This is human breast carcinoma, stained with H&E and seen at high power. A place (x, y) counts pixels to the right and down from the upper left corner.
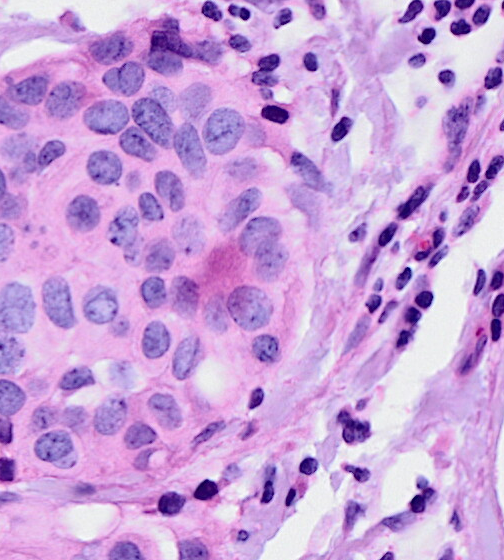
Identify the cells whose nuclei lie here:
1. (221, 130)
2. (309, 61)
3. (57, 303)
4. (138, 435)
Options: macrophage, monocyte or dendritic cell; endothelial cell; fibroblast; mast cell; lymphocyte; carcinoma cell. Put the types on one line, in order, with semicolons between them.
carcinoma cell; lymphocyte; carcinoma cell; carcinoma cell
